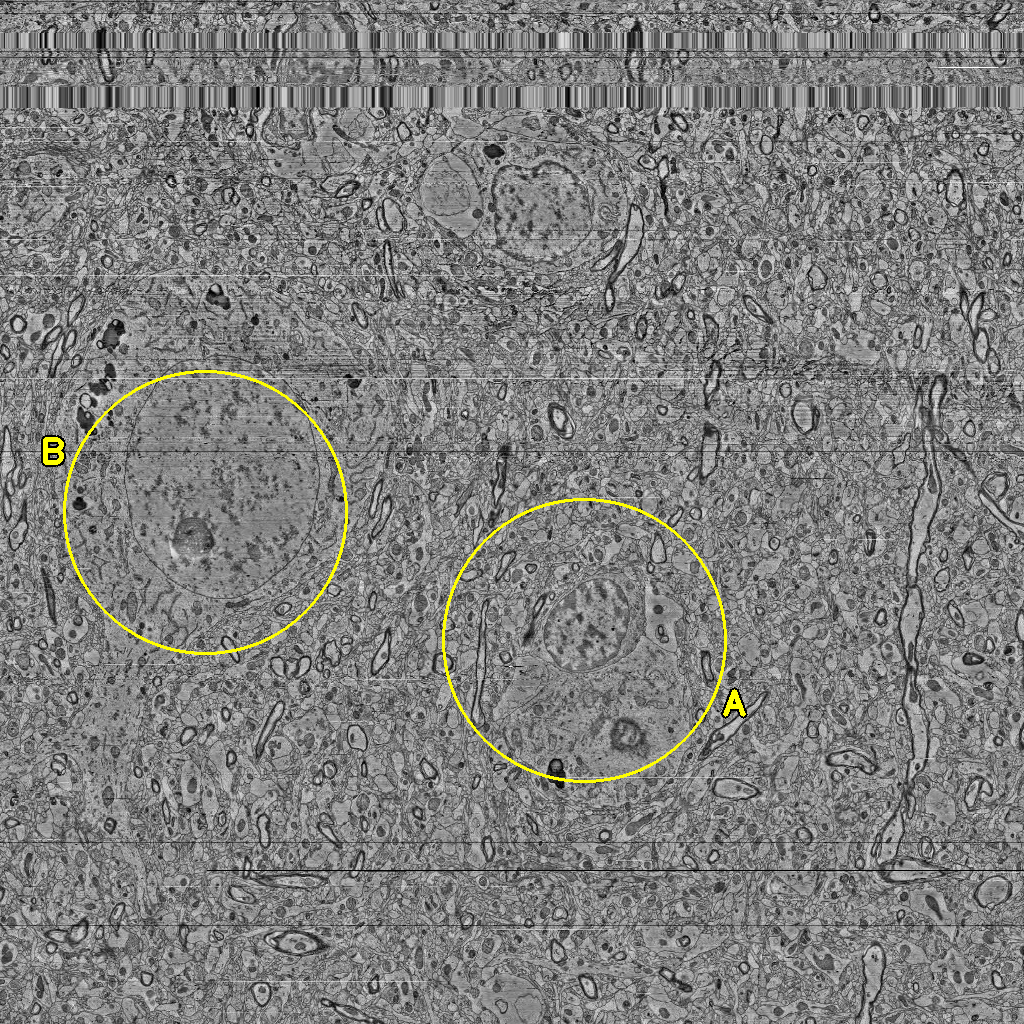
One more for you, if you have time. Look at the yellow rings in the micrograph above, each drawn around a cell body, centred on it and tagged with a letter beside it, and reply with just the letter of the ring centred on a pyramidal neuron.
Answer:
B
